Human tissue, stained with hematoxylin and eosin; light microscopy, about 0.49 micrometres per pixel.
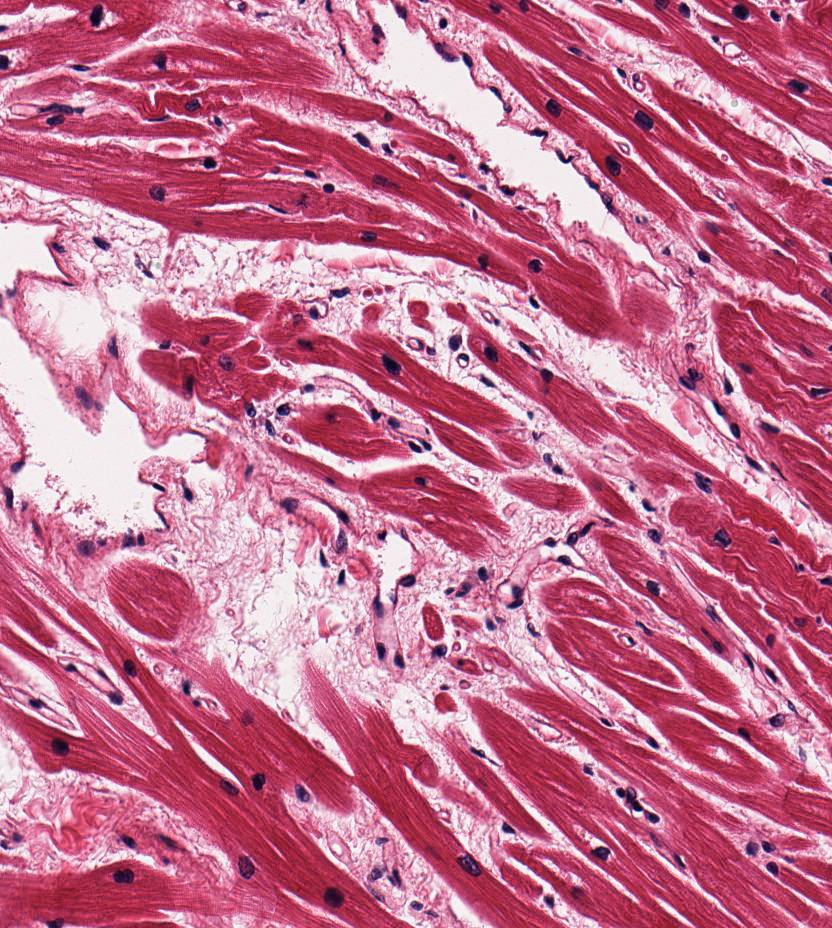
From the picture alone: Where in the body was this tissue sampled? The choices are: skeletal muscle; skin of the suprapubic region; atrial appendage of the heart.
atrial appendage of the heart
